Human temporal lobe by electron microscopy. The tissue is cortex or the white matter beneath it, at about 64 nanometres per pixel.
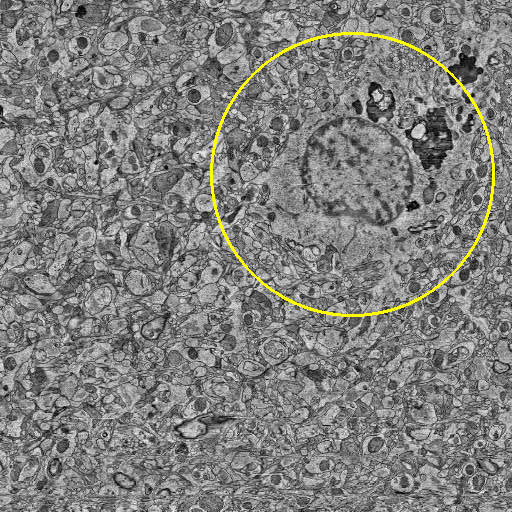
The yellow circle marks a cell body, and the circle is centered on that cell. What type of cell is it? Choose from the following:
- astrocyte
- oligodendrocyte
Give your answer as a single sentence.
This cell body belongs to an astrocyte.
